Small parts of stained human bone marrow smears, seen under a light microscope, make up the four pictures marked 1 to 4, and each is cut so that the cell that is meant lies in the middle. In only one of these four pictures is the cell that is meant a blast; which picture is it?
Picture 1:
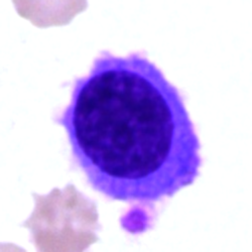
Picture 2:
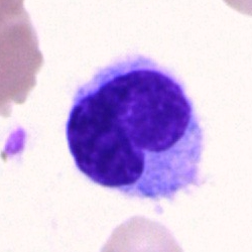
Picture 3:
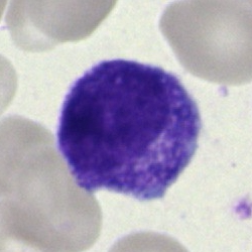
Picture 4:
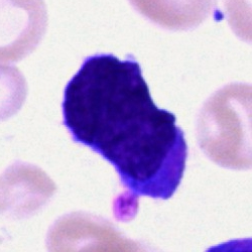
4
